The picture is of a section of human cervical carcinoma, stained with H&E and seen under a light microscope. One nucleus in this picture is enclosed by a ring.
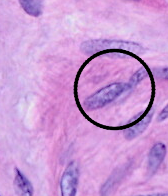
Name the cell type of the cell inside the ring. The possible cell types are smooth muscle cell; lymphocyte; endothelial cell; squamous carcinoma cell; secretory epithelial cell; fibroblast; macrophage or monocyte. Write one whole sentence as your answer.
The cell inside the ring is a smooth muscle cell.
